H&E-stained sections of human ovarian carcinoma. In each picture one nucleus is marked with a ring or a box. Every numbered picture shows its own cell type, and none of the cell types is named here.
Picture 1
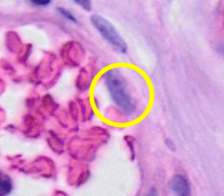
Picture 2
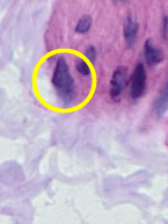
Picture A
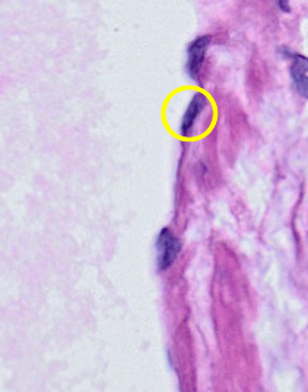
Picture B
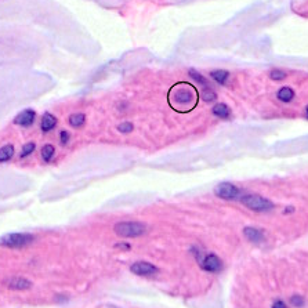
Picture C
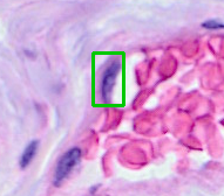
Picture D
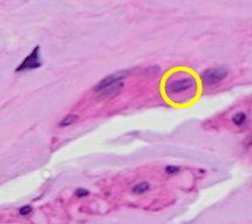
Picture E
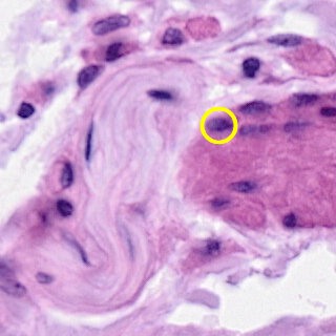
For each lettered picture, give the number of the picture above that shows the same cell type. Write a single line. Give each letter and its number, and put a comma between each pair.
A 1, B 2, C 1, D 2, E 2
